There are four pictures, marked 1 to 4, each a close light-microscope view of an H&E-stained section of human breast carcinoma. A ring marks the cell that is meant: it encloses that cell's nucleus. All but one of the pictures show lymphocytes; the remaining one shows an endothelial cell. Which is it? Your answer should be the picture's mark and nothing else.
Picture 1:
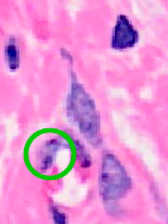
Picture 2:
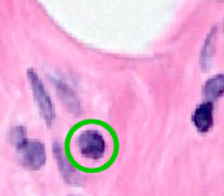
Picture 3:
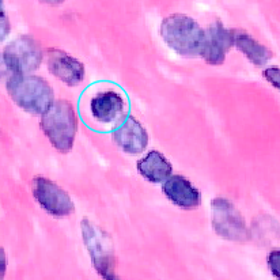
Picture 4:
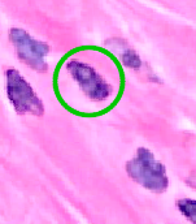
1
